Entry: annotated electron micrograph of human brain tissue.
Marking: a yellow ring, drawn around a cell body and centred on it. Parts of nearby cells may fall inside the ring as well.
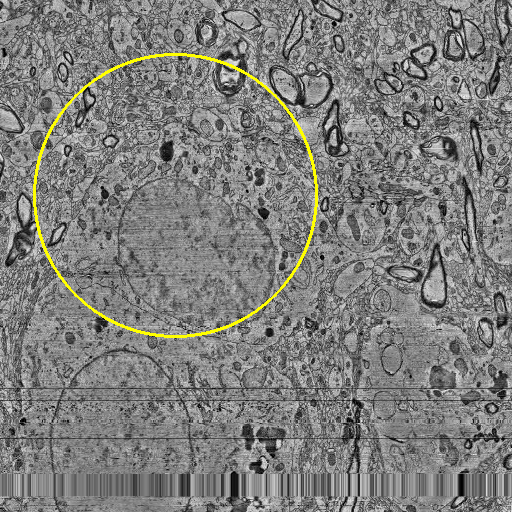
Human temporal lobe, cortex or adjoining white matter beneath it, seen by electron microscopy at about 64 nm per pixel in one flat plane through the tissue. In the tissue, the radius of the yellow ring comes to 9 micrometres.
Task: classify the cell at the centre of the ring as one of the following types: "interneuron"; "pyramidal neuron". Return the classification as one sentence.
The marked cell is classified as an interneuron.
